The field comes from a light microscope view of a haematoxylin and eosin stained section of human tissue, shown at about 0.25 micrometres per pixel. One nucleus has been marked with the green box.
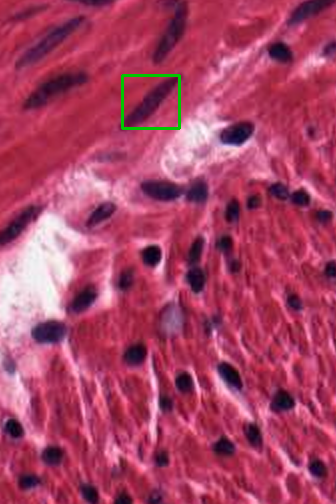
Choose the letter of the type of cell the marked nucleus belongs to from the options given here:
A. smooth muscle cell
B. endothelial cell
A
